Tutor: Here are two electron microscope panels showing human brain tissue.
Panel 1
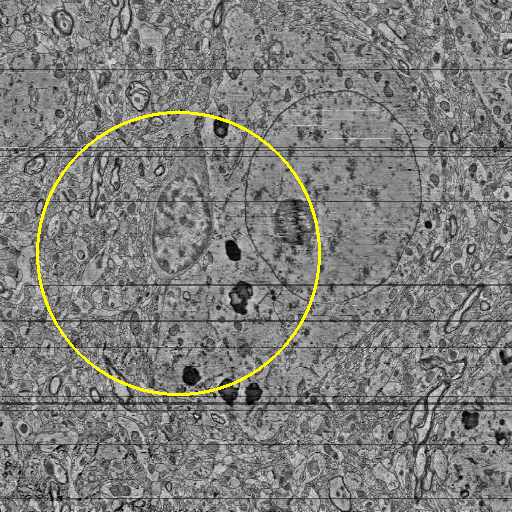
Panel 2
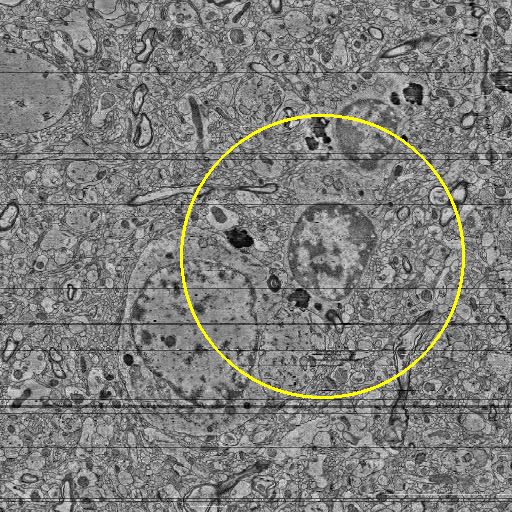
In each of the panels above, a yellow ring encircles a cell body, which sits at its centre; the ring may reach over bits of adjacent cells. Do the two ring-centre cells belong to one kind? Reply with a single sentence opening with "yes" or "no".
Yes, the two cells sitting at the ring centres in the panels belong to one kind.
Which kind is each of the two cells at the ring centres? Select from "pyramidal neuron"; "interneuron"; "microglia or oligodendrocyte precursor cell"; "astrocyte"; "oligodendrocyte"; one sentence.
The cell in the first picture is an oligodendrocyte, and so is the one in the second.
